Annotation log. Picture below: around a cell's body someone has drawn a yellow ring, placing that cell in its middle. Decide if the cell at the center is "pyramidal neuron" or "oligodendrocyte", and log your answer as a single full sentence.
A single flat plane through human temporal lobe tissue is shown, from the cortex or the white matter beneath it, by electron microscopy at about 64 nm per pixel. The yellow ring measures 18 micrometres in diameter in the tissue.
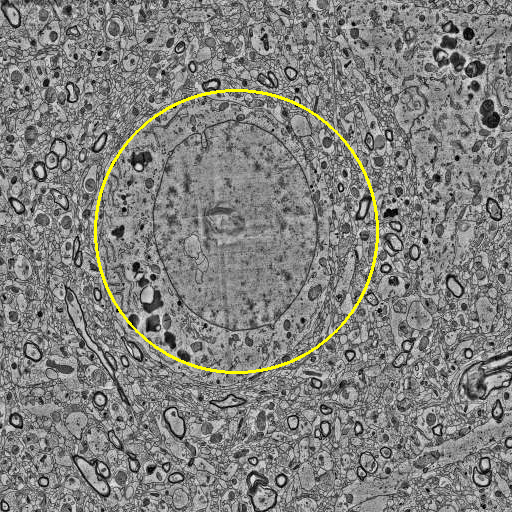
My entry records a pyramidal neuron as the cell sitting at the center of the yellow ring.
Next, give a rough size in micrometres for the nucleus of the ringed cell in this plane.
The ringed cell's nucleus is about 13 micrometres long and 11 micrometres wide in this plane.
